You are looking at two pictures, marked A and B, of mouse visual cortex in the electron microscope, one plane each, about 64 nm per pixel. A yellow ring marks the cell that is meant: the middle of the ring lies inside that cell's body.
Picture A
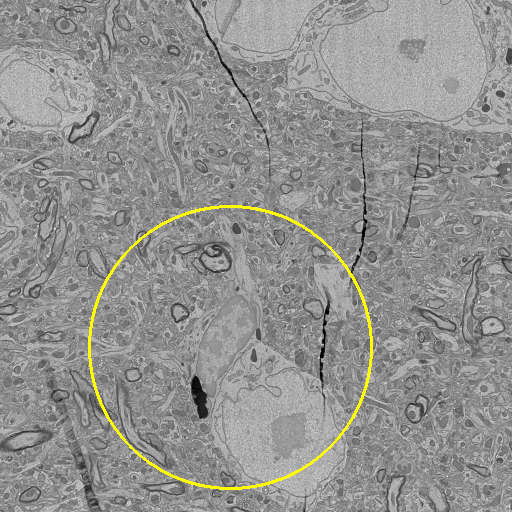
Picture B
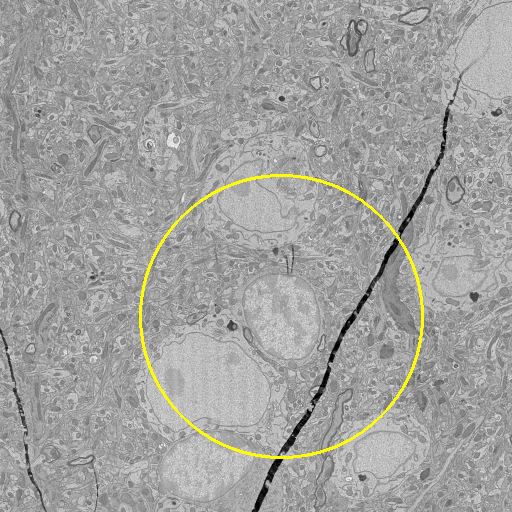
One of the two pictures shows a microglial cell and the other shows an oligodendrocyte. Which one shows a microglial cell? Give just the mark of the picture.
A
